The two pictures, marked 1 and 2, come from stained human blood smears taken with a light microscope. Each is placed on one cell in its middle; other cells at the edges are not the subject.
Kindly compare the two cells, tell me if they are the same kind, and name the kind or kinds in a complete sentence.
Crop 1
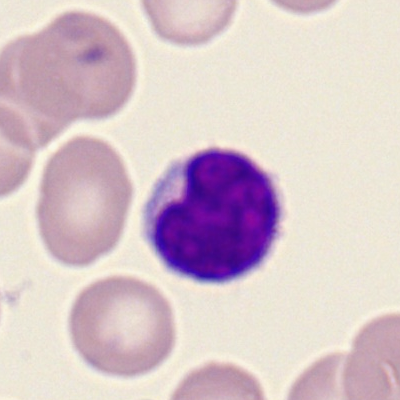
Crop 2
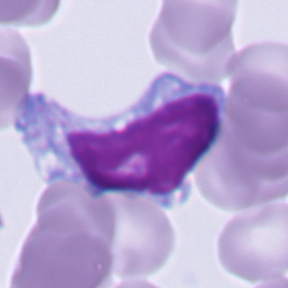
Yes, both crops show lymphocytes, with no exception.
